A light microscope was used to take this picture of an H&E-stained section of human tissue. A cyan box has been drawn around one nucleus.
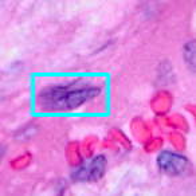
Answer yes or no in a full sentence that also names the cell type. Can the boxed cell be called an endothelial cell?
Yes, the description of the boxed cell as an endothelial cell is accurate.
